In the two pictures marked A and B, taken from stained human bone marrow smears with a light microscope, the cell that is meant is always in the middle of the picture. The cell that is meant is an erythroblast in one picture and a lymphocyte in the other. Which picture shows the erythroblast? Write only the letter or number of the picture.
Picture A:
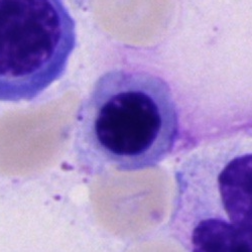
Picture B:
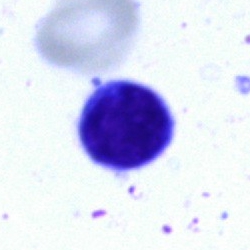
A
